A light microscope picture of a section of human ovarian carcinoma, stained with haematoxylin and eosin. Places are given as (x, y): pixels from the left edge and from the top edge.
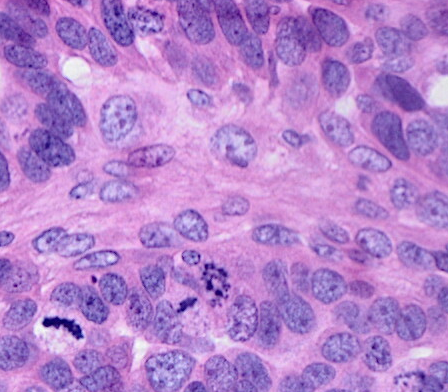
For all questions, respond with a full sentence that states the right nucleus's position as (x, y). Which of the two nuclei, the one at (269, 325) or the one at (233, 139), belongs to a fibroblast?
Rather than the other nucleus, the one at (233, 139) belongs to a fibroblast.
